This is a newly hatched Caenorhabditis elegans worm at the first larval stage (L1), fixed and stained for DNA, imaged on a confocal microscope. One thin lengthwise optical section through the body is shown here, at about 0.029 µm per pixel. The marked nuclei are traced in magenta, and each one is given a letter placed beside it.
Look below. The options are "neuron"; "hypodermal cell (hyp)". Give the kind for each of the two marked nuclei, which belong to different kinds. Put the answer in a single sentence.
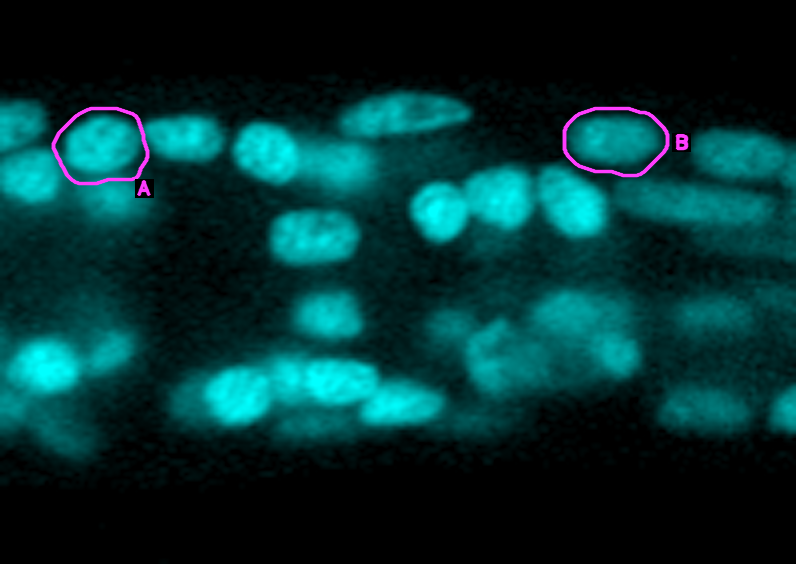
The nucleus A is that of a neuron, while B is that of a hypodermal cell (hyp).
